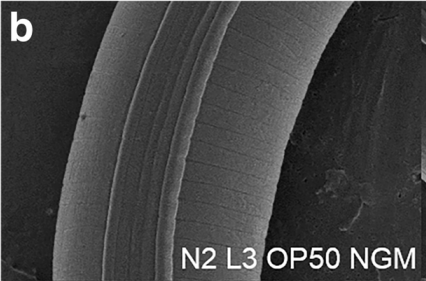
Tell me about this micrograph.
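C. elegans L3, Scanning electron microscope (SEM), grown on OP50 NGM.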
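The curved body shows a band of several parallel longitudinal ridges, the alae, running along its side. Across the rest of the cuticle, fine transverse grooves spaced at regular intervals form the annuli.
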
